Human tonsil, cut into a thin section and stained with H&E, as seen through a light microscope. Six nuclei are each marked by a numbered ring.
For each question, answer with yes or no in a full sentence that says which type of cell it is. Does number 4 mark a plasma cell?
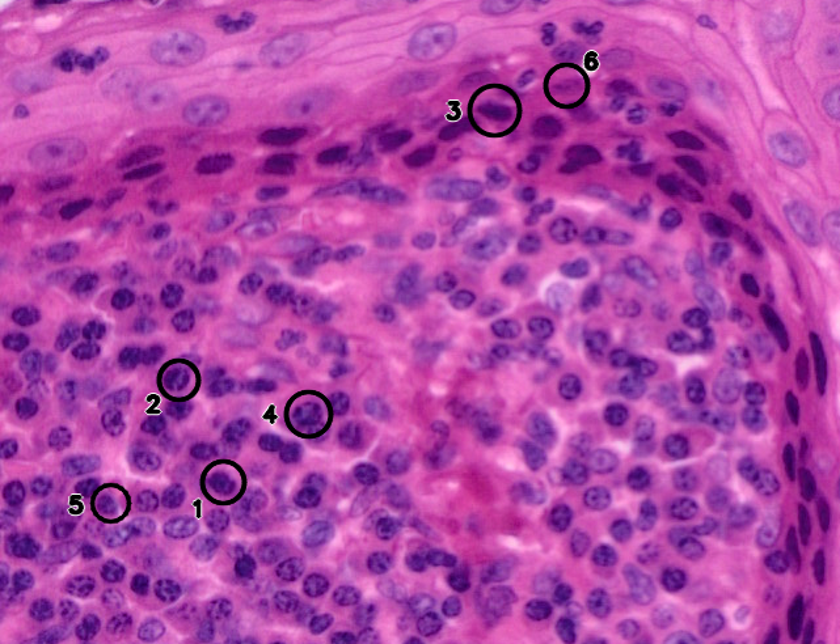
Yes, the cell marked with number 4 is a plasma cell.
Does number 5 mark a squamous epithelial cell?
No, cell 5 represents a plasma cell rather than a squamous epithelial cell.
